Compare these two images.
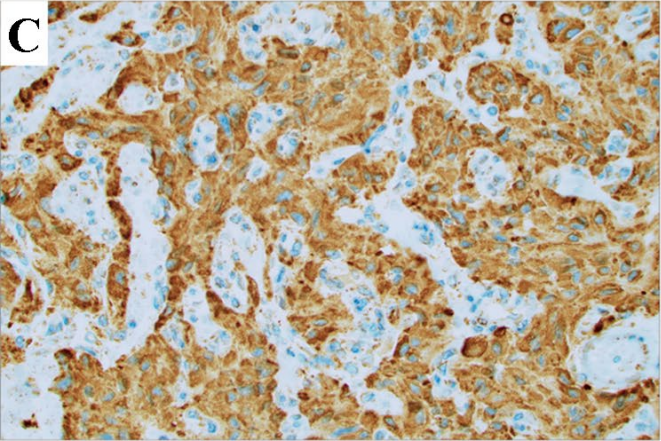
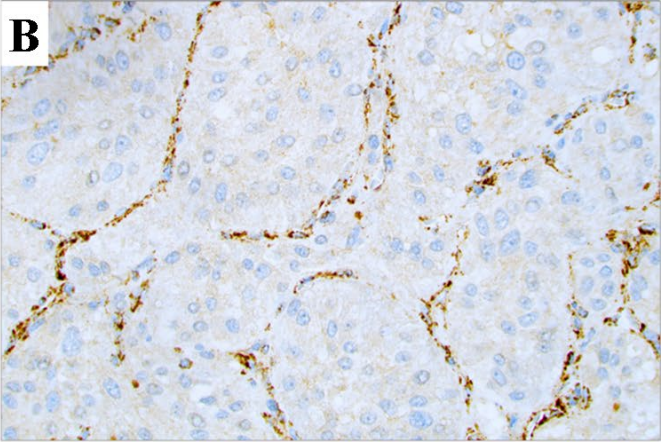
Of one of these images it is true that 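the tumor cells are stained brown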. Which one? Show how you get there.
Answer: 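The first image. First image: the cytoplasm of the tumor cells is broadly brown. Second image: the tumor cells are pale, with brown only in thin cells around the nests.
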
